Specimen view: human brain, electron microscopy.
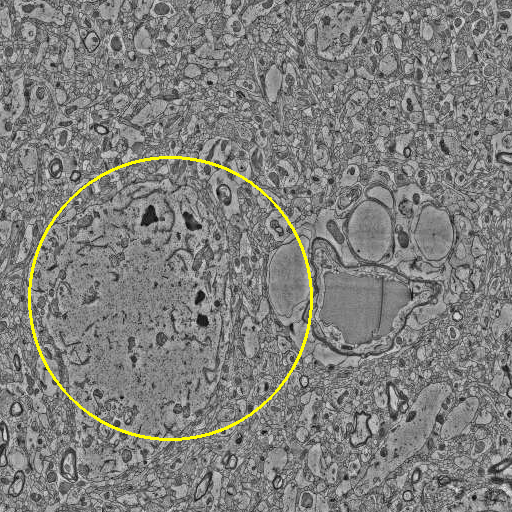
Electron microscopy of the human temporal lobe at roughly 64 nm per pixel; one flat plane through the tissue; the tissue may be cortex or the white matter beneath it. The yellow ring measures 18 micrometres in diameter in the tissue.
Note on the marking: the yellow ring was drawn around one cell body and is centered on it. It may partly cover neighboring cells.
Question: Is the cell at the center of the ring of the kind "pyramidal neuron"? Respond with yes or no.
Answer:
yes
